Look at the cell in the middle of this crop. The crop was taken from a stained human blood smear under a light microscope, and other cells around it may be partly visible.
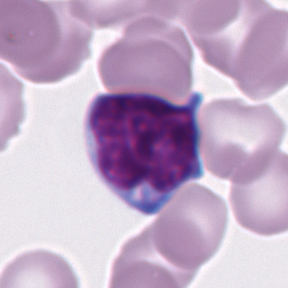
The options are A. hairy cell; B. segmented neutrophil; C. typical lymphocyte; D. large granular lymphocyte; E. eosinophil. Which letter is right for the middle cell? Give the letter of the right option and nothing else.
C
